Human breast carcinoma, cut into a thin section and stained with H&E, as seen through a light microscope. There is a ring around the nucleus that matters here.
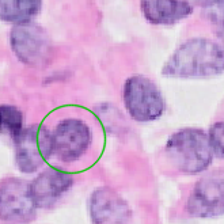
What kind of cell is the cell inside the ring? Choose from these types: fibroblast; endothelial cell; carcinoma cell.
carcinoma cell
